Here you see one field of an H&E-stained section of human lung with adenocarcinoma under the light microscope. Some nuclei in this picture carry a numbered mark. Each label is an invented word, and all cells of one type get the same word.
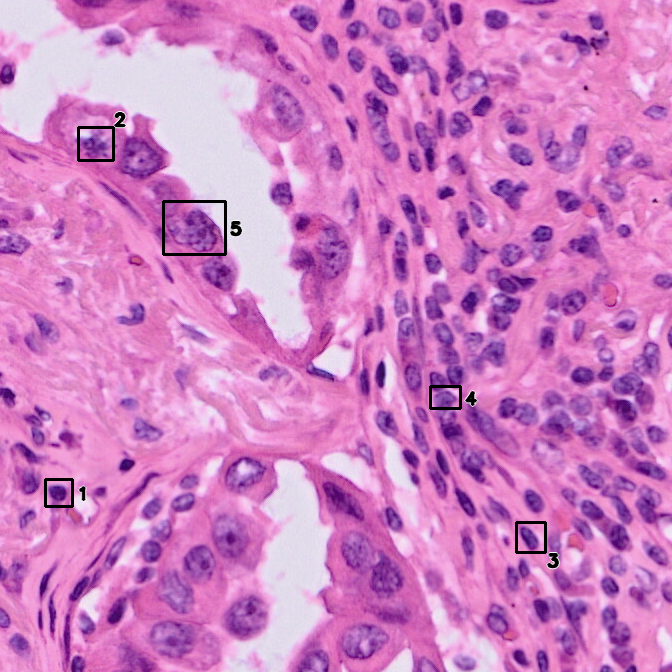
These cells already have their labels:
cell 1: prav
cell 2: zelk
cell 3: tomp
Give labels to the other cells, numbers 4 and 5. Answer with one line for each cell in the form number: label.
4: tomp
5: zelk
